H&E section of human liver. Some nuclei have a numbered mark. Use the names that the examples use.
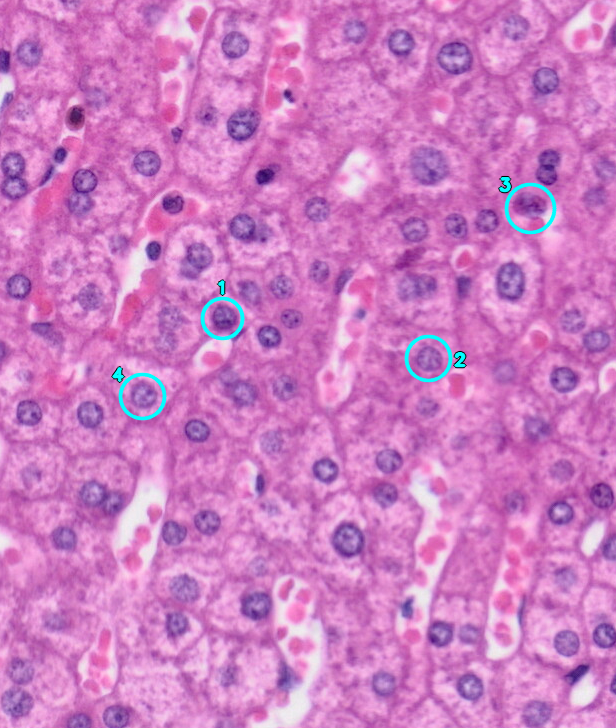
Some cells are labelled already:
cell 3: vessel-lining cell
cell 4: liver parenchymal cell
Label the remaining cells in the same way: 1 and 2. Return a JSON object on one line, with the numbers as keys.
{"1": "liver parenchymal cell", "2": "liver parenchymal cell"}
